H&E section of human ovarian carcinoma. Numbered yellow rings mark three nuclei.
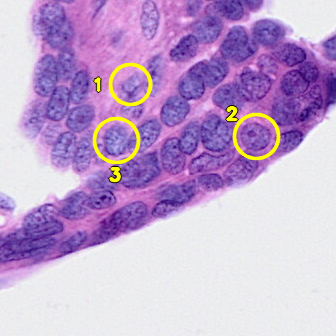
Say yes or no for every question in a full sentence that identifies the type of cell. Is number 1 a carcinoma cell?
No, it is a fibroblast that is marked with number 1, not a carcinoma cell.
